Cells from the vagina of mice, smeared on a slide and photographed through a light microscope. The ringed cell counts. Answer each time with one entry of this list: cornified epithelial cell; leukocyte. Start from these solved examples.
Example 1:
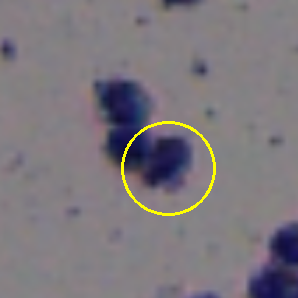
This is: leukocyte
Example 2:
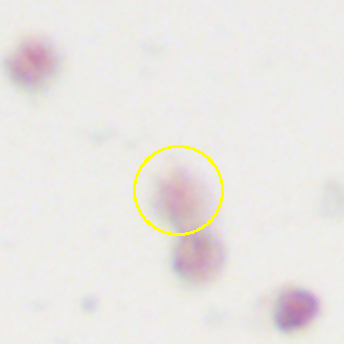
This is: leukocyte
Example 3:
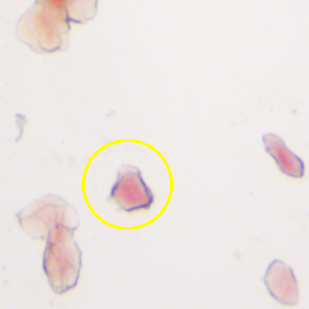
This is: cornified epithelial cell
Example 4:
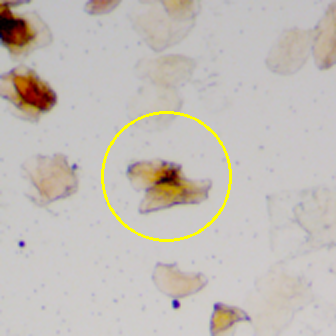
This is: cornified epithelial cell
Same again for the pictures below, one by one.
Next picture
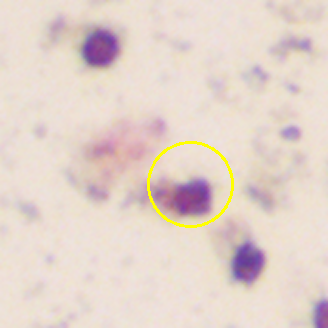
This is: leukocyte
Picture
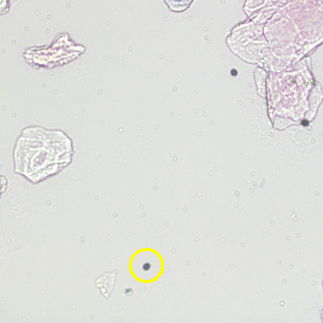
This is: leukocyte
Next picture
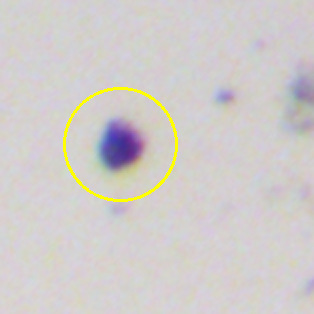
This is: leukocyte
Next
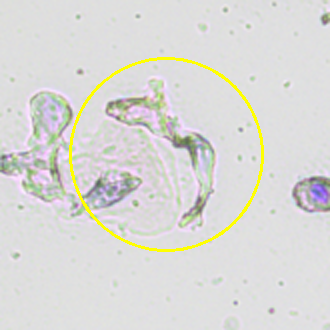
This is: cornified epithelial cell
